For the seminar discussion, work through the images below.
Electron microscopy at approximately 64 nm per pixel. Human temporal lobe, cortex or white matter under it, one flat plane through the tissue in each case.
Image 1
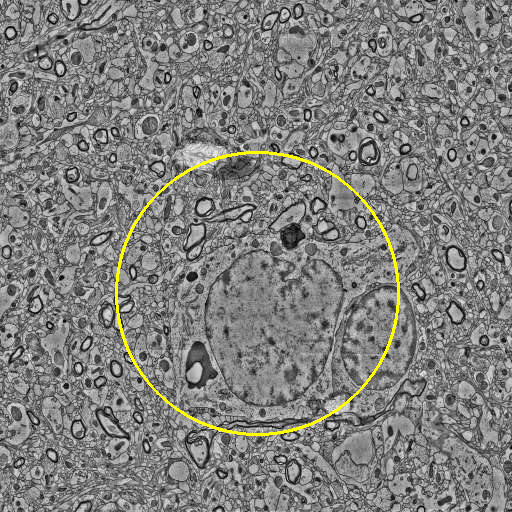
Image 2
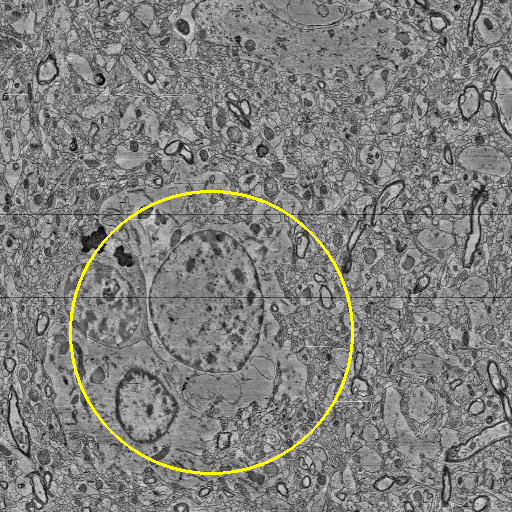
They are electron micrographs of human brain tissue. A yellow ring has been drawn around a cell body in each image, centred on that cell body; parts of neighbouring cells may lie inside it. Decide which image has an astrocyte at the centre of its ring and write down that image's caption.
Image 2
